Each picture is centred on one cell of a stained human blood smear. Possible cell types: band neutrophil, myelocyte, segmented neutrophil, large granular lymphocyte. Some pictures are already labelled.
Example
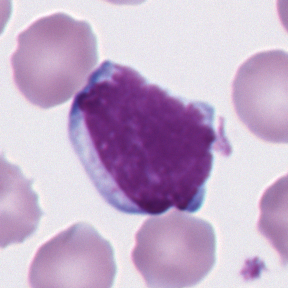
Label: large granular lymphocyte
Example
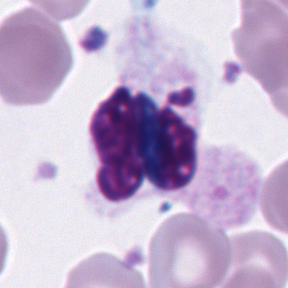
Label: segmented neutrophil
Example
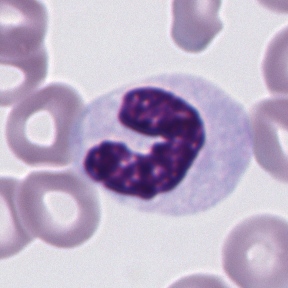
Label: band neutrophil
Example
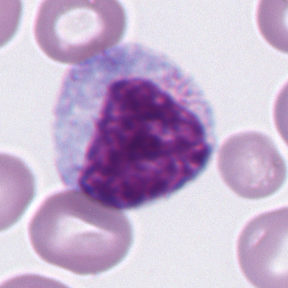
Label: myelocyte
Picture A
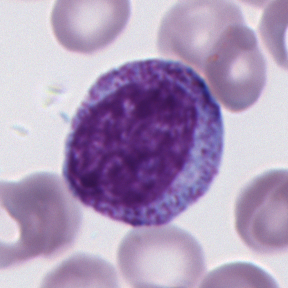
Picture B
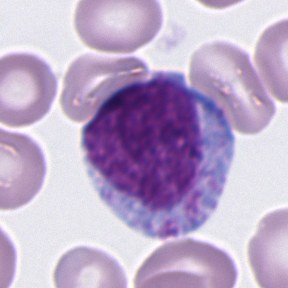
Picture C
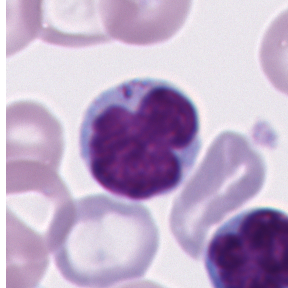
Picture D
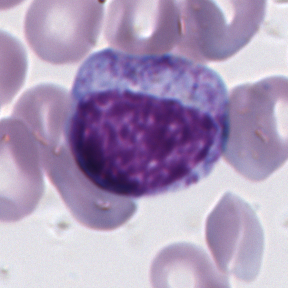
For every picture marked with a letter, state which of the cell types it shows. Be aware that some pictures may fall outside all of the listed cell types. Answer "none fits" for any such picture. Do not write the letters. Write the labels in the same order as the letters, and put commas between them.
none fits, myelocyte, large granular lymphocyte, myelocyte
